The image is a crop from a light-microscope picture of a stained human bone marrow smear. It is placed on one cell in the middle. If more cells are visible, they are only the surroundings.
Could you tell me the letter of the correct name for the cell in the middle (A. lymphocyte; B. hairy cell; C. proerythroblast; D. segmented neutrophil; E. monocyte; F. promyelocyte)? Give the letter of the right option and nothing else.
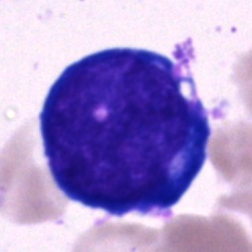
C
